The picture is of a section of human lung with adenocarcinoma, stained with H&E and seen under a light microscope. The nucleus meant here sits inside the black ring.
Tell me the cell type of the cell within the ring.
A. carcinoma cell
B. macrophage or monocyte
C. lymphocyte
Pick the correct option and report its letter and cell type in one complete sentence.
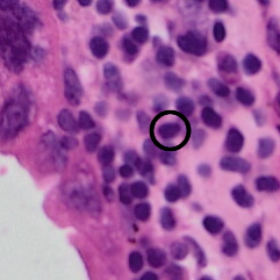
Option C is correct; the cell within the ring is a lymphocyte.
